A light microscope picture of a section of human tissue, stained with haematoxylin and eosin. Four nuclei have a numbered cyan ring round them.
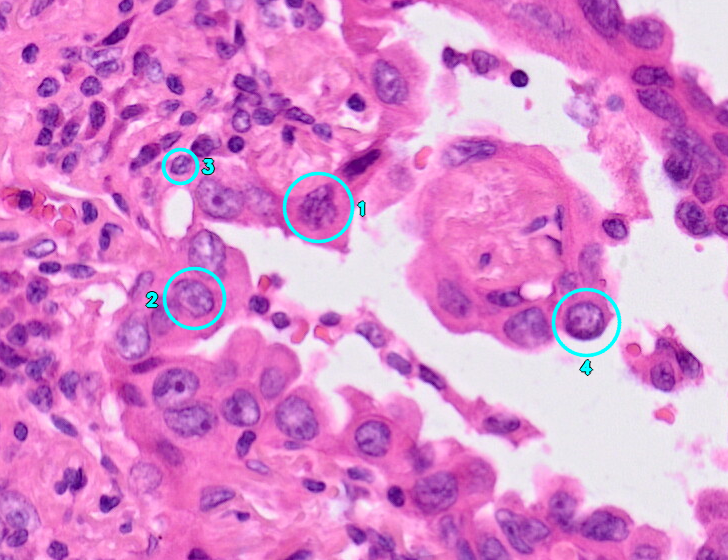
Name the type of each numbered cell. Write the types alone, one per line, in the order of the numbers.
carcinoma cell
carcinoma cell
lymphocyte
carcinoma cell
